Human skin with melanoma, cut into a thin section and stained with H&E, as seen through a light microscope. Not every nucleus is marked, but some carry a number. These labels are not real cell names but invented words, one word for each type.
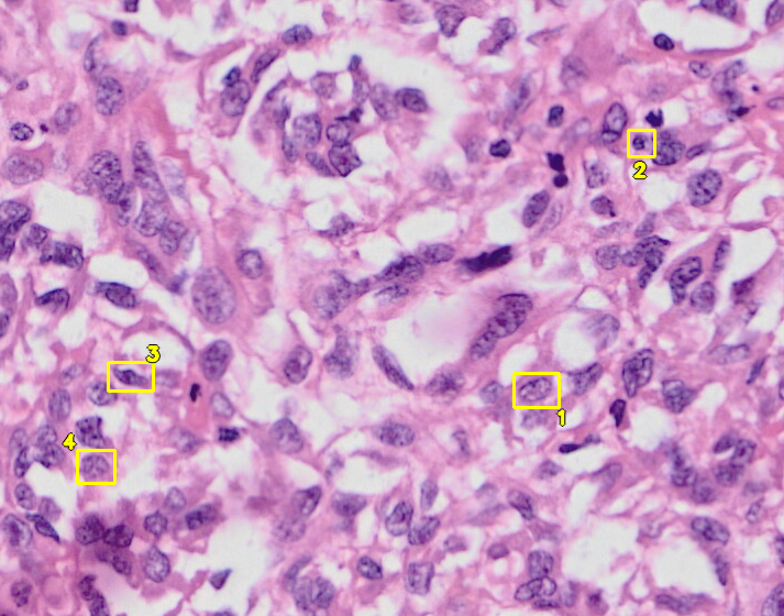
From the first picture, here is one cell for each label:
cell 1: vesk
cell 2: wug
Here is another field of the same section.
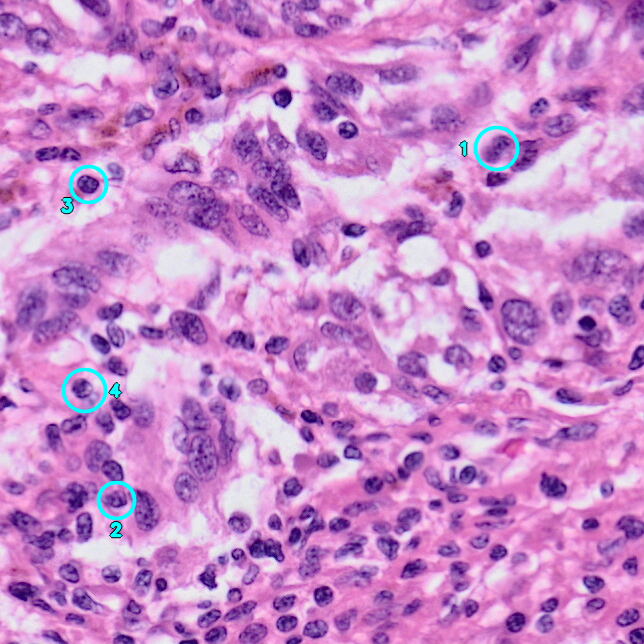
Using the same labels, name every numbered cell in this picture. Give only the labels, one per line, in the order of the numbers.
vesk
wug
wug
wug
